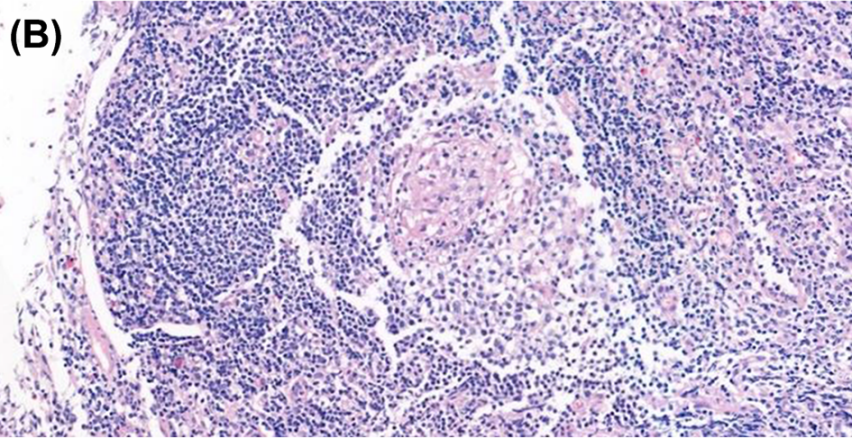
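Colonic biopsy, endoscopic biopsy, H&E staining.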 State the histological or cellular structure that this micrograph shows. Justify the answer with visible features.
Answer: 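A rounded central cluster of pale pink cells with elongated, oval nuclei. There is no central area of amorphous necrotic debris.
Hence: non-caseating granuloma.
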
